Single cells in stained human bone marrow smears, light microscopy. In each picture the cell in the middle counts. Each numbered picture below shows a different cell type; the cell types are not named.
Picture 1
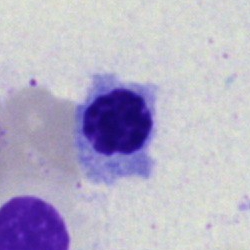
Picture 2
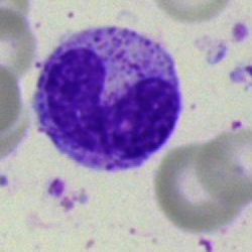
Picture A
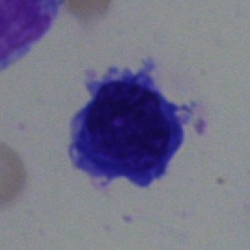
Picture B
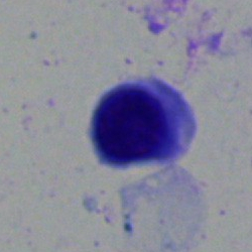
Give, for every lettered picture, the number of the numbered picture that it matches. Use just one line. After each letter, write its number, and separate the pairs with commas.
A 1, B 1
